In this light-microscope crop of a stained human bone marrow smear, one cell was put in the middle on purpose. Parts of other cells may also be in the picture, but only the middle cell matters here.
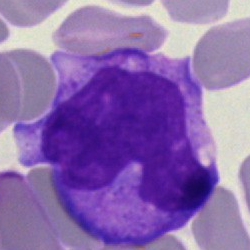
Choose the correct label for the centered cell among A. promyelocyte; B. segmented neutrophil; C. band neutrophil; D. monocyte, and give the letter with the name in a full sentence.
The correct option is D, as the central cell is a monocyte.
